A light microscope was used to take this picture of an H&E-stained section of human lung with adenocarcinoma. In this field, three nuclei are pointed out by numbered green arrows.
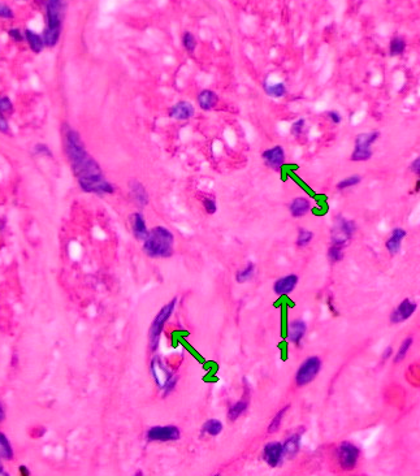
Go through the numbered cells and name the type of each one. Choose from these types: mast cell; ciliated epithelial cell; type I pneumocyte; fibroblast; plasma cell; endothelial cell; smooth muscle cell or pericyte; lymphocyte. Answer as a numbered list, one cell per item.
1. mast cell
2. endothelial cell
3. mast cell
